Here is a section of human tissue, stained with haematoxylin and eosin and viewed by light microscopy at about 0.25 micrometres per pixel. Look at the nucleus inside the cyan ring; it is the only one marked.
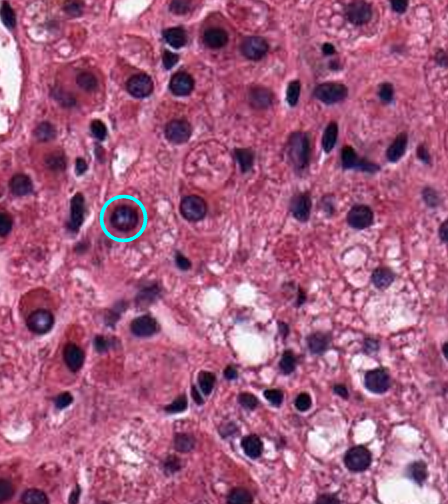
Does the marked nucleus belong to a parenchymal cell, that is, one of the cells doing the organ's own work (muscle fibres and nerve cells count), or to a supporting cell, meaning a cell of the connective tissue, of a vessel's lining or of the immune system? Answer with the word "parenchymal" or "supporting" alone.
parenchymal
